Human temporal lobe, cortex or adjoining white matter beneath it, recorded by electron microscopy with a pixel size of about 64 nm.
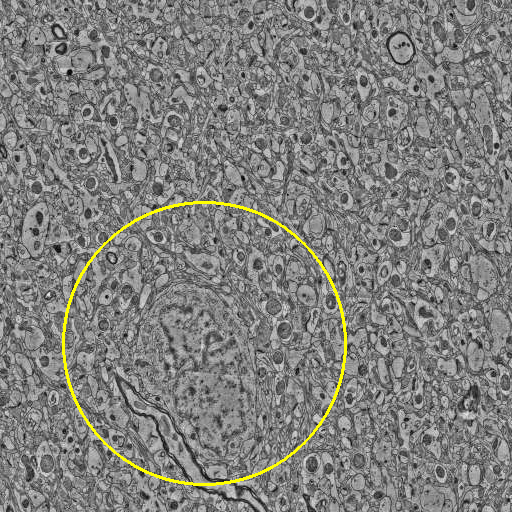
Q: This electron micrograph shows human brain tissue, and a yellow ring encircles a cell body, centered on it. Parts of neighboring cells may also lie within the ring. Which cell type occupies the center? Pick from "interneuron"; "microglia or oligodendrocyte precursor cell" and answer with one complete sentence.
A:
What sits at the ring's center in this micrograph is an interneuron, among those choices.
